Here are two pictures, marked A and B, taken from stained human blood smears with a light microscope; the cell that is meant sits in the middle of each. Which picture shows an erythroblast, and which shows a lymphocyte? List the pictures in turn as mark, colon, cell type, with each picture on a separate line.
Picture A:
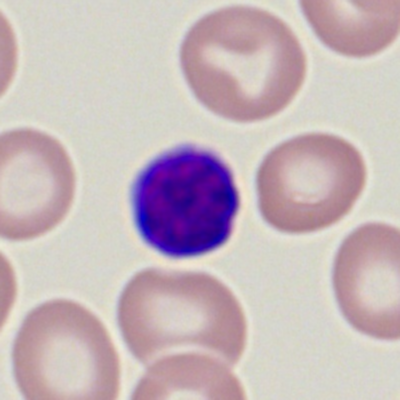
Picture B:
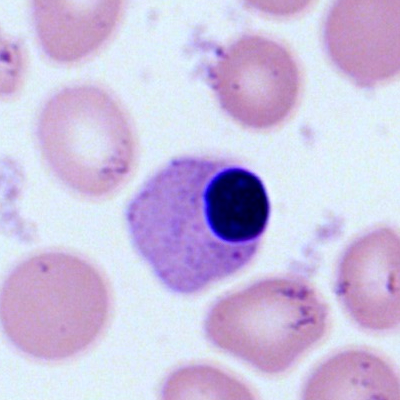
A: lymphocyte
B: erythroblast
